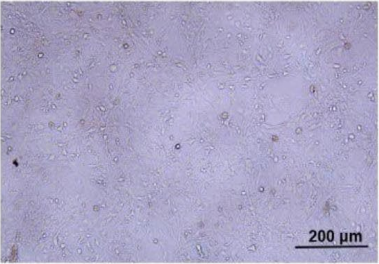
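This is an unstained cell culture seen at low magnification with ordinary light, against a faint purplish-grey background. Many small cells are spread fairly evenly across the dish. Some are elongated or spindle-shaped and others are more rounded, and a few appear as bright, refractile dots.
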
